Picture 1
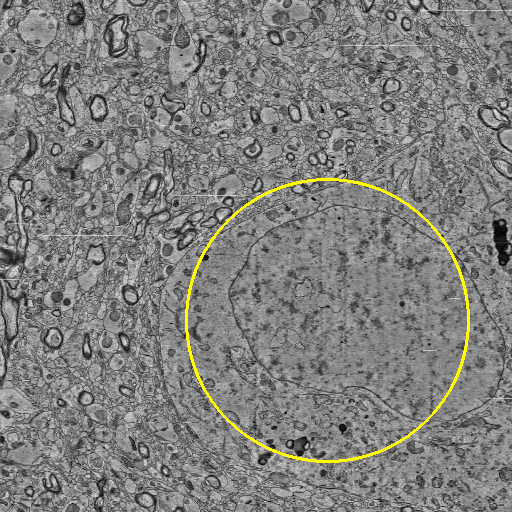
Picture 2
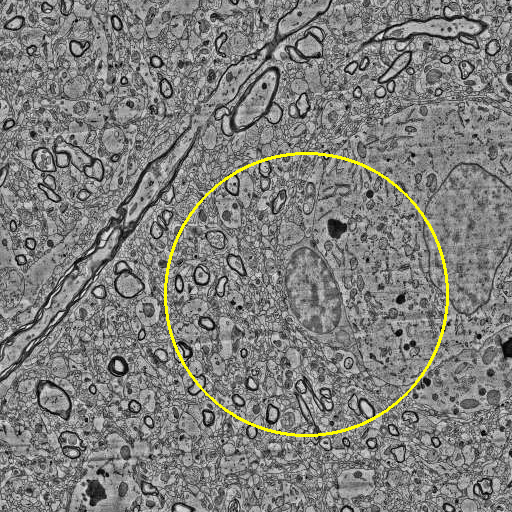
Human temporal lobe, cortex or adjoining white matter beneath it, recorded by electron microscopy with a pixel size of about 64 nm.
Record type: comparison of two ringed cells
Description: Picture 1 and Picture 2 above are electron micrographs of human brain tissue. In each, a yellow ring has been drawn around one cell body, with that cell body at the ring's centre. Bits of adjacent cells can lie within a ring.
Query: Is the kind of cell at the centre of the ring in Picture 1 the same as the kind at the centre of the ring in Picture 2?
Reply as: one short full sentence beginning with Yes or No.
No, the two ringed cells are of two separate kinds.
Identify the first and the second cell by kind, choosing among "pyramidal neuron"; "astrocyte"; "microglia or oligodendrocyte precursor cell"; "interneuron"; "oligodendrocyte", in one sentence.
The one in the first picture is a pyramidal neuron, while the one in the second is an oligodendrocyte.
